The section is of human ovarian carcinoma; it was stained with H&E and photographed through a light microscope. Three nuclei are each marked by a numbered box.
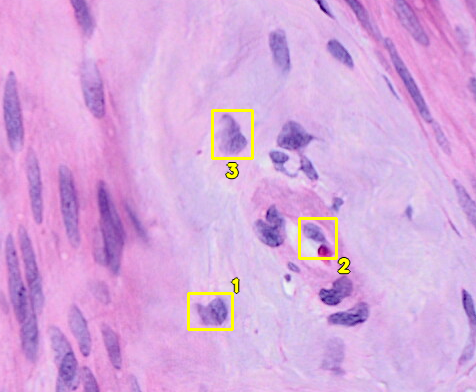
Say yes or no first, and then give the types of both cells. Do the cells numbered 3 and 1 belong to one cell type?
Yes, both are fibroblasts.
